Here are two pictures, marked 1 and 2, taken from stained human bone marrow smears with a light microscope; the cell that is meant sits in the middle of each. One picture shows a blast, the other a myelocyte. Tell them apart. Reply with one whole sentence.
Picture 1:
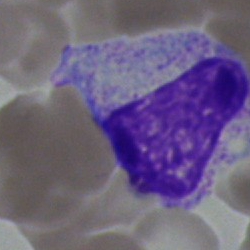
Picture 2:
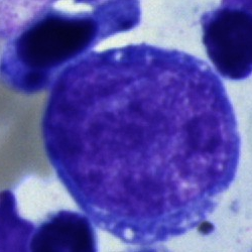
Picture 1 shows a myelocyte and picture 2 shows a blast.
